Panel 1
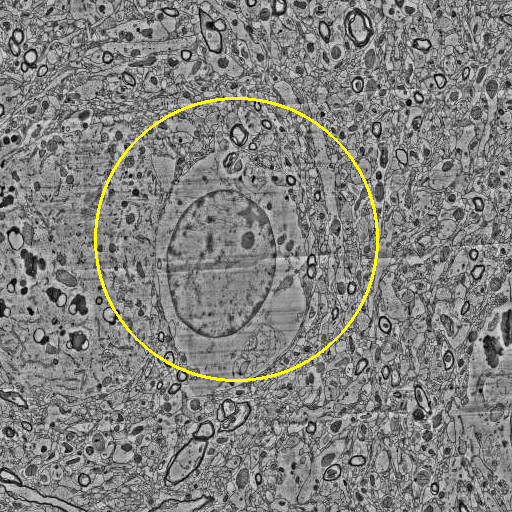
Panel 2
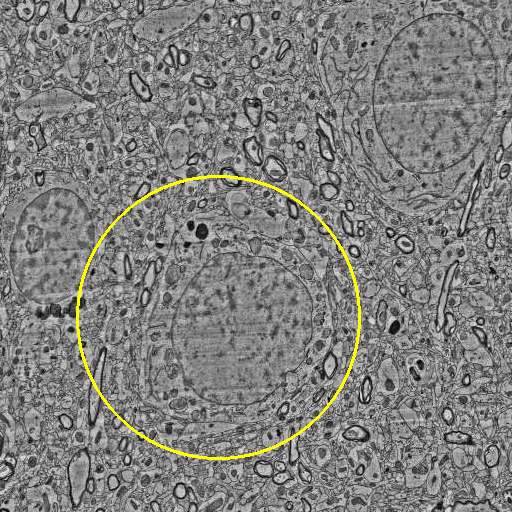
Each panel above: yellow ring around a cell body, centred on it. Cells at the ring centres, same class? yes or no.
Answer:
no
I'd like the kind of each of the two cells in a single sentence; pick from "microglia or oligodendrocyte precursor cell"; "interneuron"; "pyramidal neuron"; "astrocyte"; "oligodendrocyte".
The first ring marks an astrocyte, and the second ring marks a pyramidal neuron.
